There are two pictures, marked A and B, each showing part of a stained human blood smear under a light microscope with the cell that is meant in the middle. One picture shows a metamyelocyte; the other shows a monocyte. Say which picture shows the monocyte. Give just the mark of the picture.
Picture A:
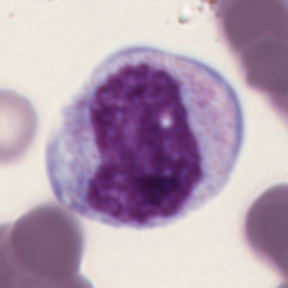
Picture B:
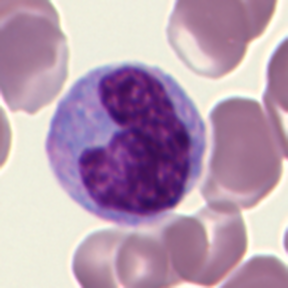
B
